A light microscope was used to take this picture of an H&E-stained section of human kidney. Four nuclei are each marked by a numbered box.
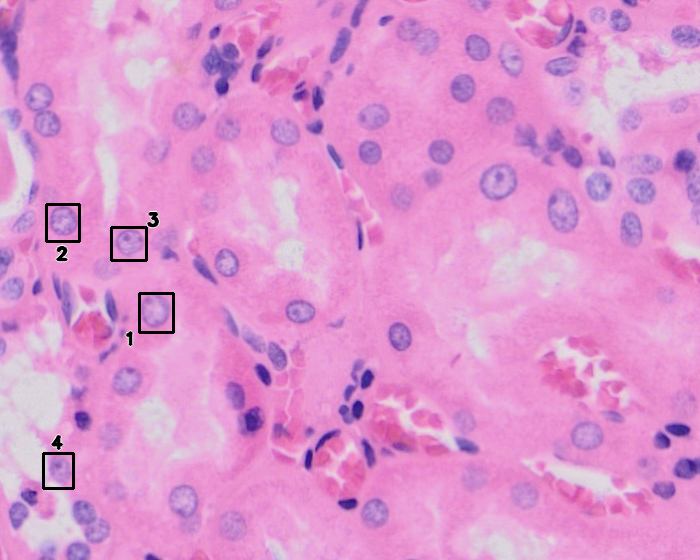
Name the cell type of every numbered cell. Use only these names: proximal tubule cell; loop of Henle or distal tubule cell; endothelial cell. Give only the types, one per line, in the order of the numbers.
proximal tubule cell
proximal tubule cell
proximal tubule cell
loop of Henle or distal tubule cell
